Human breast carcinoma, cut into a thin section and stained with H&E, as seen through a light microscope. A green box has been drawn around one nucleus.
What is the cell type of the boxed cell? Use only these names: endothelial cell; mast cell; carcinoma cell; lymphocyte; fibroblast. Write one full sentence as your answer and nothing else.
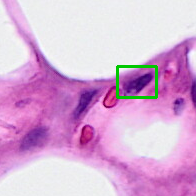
At the level of cell identity, the boxed cell is an endothelial cell.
